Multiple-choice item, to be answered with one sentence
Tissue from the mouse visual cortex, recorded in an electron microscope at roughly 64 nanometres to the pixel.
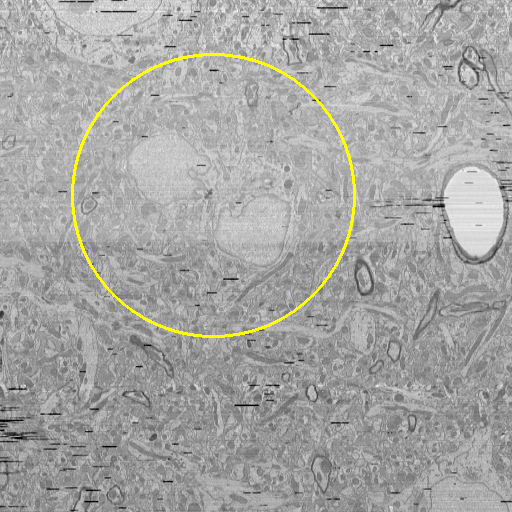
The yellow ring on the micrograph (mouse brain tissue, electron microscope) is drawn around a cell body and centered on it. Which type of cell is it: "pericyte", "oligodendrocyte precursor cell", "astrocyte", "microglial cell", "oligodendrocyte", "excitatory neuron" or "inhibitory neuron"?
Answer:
The ring is centered on an oligodendrocyte precursor cell.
